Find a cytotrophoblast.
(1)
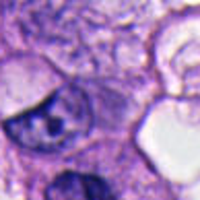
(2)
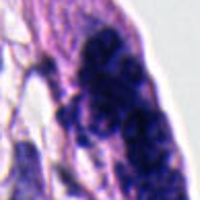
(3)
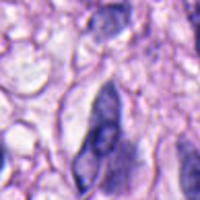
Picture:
1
